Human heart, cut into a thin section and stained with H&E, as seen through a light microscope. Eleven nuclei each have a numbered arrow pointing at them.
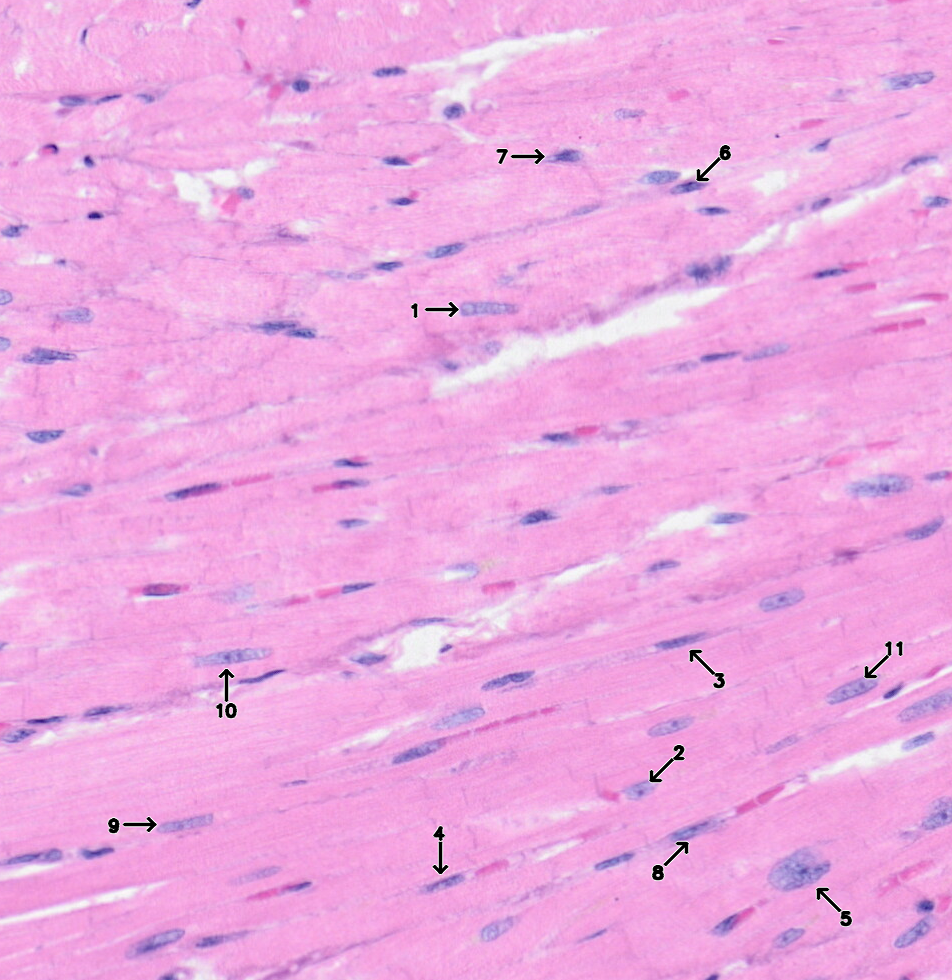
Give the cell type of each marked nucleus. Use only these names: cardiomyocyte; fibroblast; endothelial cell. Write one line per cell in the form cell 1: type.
cell 1: cardiomyocyte
cell 2: cardiomyocyte
cell 3: endothelial cell
cell 4: endothelial cell
cell 5: cardiomyocyte
cell 6: endothelial cell
cell 7: endothelial cell
cell 8: endothelial cell
cell 9: cardiomyocyte
cell 10: cardiomyocyte
cell 11: cardiomyocyte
